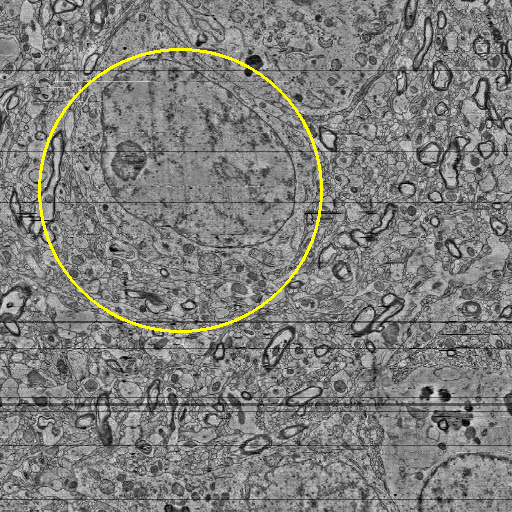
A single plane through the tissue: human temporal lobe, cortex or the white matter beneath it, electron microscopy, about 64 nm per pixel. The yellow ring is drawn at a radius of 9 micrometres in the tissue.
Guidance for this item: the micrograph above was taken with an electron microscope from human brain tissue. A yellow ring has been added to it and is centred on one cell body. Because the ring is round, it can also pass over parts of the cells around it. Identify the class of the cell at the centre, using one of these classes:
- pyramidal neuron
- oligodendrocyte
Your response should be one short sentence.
The ring surrounds the body of a pyramidal neuron.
